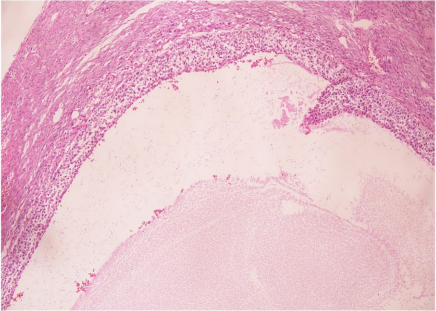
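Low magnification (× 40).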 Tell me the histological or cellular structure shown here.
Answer: follicle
